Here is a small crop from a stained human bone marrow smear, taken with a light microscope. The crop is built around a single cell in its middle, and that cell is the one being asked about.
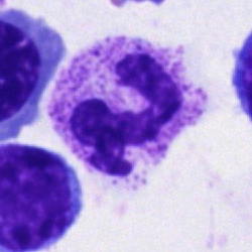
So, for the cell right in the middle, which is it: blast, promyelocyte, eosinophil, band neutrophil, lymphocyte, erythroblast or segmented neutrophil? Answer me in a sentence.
The middle of this crop holds a segmented neutrophil.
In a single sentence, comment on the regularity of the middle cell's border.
Irregularity marks the cell border, whether as raggedness or as projections.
